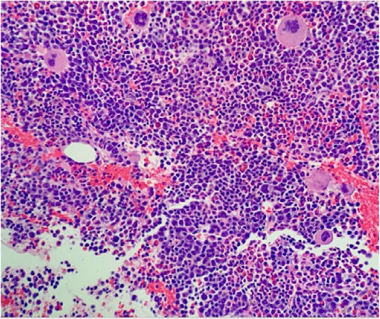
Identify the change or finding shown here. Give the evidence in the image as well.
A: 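Densely packed nucleated cells fill almost the whole section. Very little fat space is left between the cells. A few large cells with abundant pink cytoplasm lie among them.
Answer: hypercellular marrow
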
